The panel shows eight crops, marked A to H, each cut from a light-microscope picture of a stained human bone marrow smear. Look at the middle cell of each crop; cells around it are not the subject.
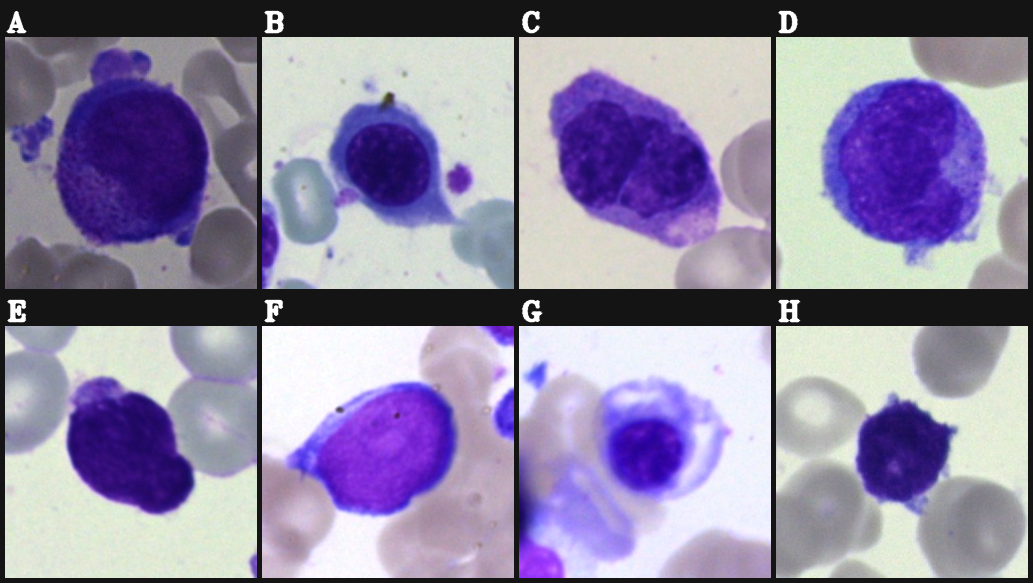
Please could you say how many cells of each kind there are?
blast: 4
erythroblast: 2
monocyte: 2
